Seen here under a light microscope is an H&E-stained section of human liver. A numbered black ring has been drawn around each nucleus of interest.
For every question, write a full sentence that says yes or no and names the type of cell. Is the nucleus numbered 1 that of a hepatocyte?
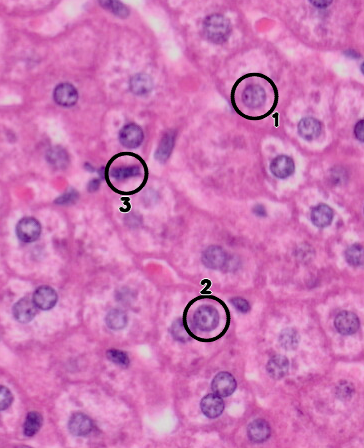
Yes, it is a hepatocyte that number 1 identifies.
